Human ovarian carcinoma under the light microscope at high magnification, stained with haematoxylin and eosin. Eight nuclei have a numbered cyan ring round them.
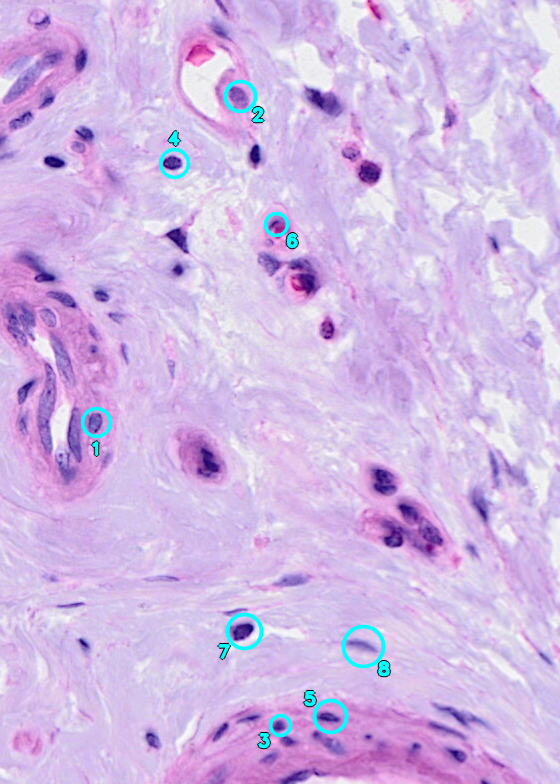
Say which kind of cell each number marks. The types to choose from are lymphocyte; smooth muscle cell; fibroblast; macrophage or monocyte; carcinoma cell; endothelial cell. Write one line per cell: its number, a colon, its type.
1: smooth muscle cell
2: endothelial cell
3: smooth muscle cell
4: lymphocyte
5: smooth muscle cell
6: endothelial cell
7: lymphocyte
8: fibroblast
